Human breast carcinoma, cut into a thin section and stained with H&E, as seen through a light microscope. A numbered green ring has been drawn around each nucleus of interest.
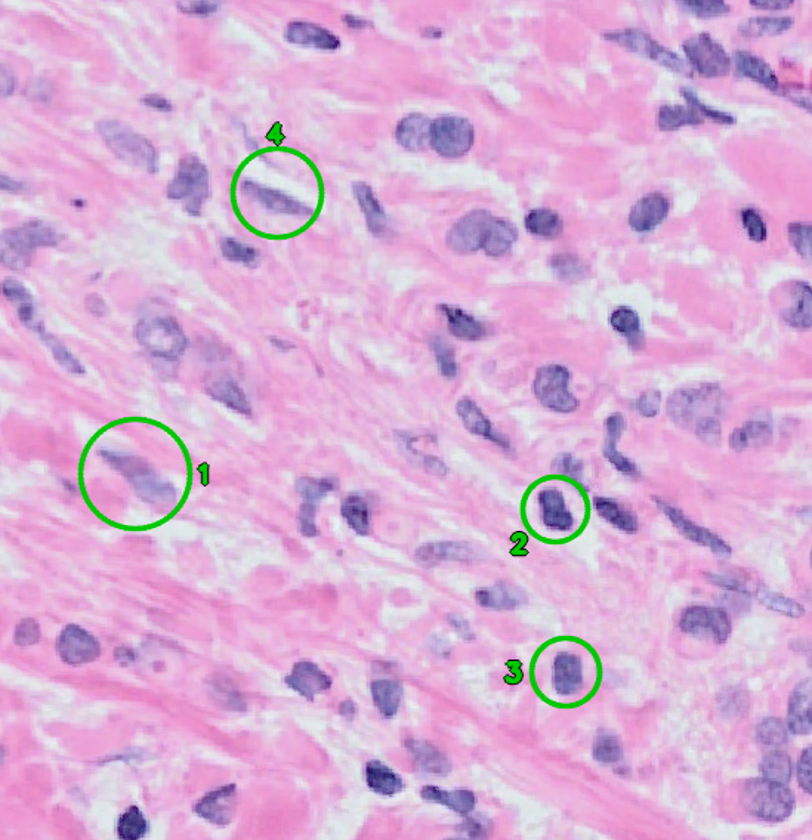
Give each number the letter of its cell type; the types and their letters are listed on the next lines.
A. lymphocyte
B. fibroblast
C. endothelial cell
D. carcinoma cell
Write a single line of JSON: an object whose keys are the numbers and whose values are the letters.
{"1": "B", "2": "A", "3": "A", "4": "B"}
